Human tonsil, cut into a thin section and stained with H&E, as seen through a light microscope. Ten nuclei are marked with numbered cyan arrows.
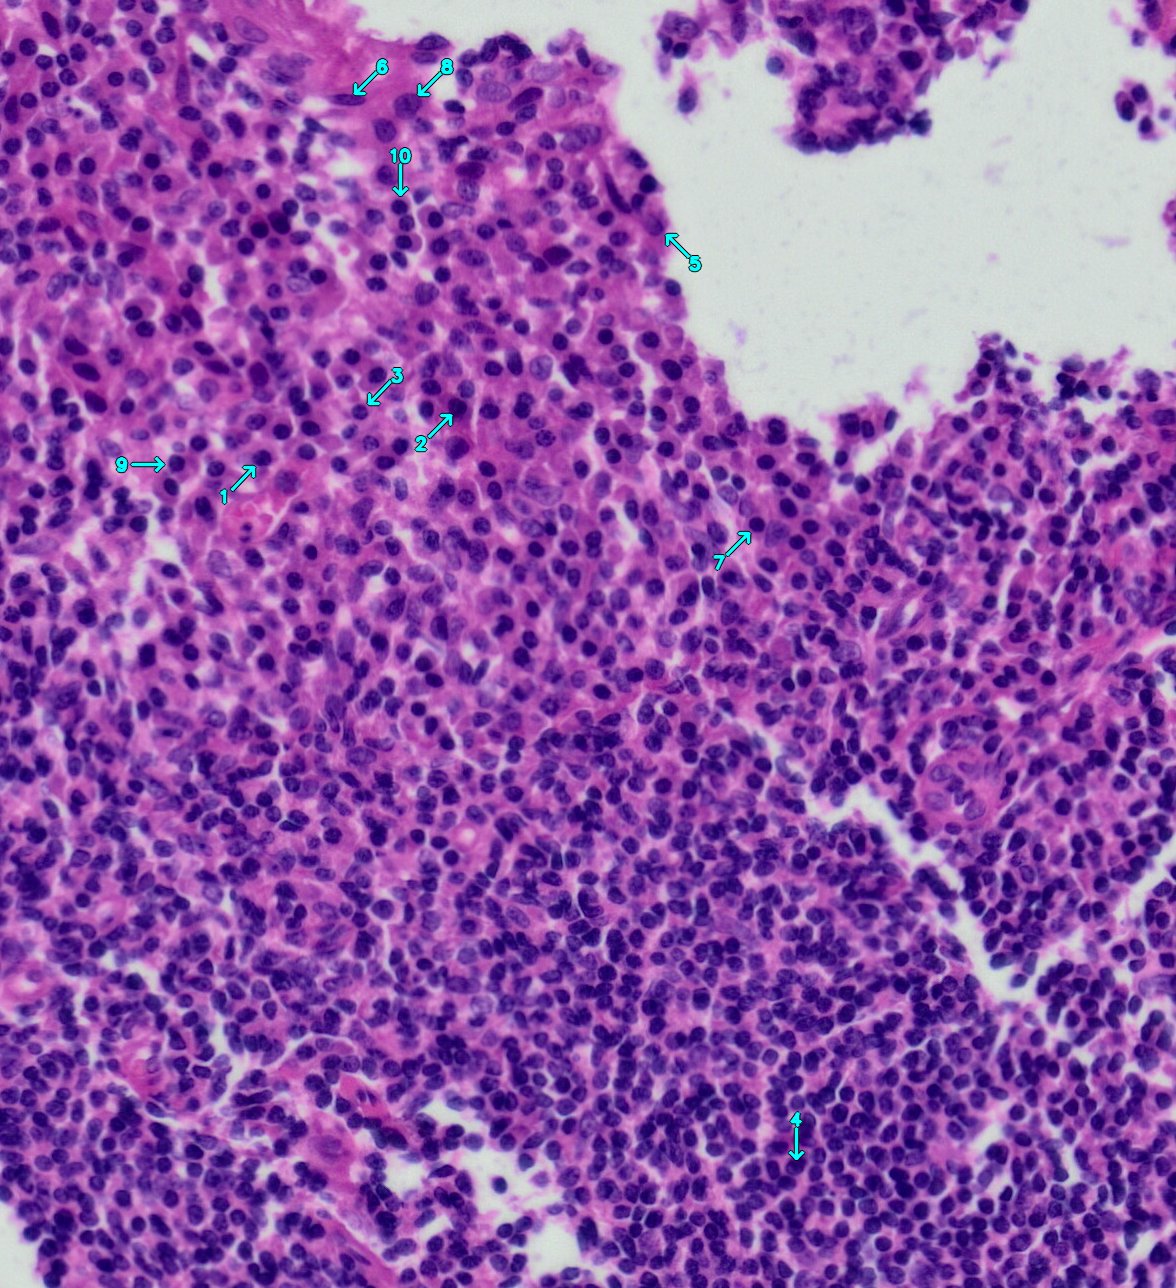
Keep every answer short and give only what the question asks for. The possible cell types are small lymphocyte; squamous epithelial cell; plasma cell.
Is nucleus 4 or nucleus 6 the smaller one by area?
4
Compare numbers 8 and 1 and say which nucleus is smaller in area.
1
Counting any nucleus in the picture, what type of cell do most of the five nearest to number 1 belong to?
plasma cell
